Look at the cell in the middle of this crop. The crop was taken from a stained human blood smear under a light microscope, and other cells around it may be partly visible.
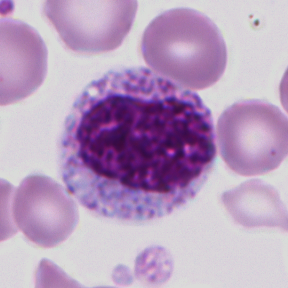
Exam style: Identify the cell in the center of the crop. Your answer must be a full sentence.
The central cell in this smear crop is a metamyelocyte.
